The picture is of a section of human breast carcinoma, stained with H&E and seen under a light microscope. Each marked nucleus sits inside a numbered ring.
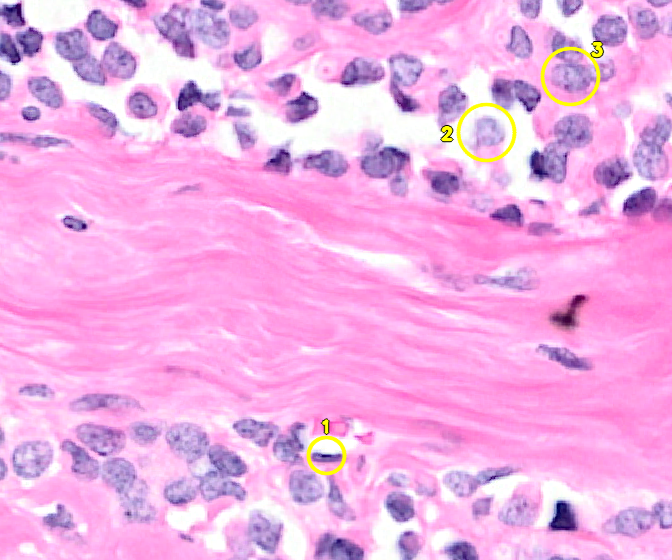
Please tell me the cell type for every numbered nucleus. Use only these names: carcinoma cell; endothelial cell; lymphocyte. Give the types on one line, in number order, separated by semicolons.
endothelial cell; carcinoma cell; carcinoma cell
